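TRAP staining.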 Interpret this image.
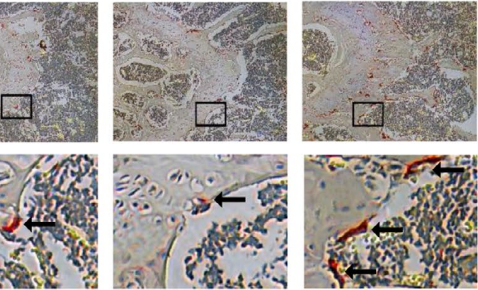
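Pale, smooth trabeculae are embedded in densely packed marrow made of many small dark round cells. Red-stained, flattened or elongated osteoclasts line parts of the trabecular surfaces, where bone meets marrow. Small lacunae with cells are scattered within the pale bone matrix.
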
